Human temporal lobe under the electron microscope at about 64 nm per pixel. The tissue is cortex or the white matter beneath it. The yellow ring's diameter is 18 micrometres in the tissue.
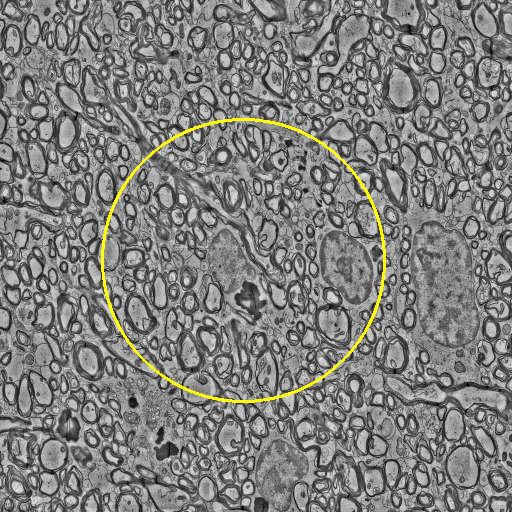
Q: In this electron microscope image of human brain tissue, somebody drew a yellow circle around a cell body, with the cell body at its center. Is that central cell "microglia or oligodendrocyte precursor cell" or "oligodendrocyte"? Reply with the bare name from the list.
oligodendrocyte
